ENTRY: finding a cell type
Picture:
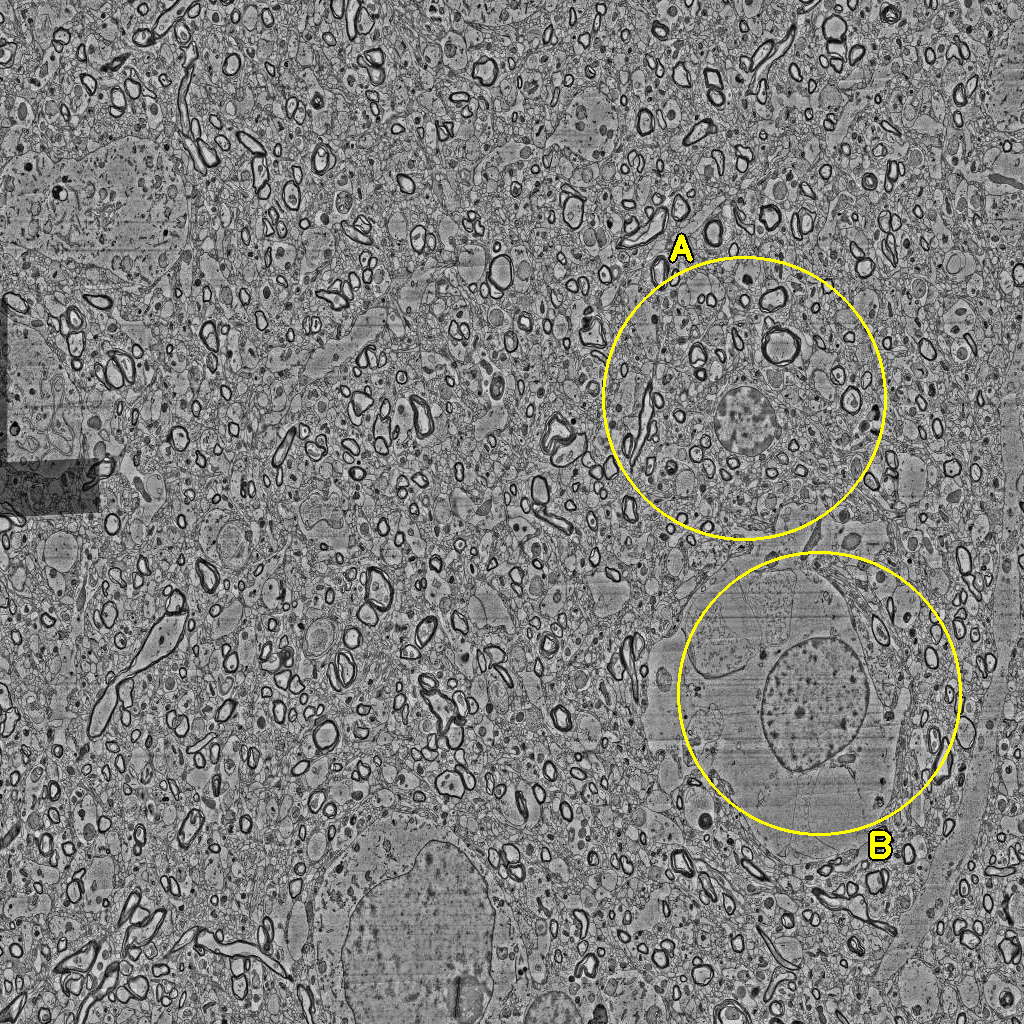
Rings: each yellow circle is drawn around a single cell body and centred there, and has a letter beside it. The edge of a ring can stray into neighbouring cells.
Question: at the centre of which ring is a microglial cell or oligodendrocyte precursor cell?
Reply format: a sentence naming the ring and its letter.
The answer is ring A, the one centred on the cell asked for.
